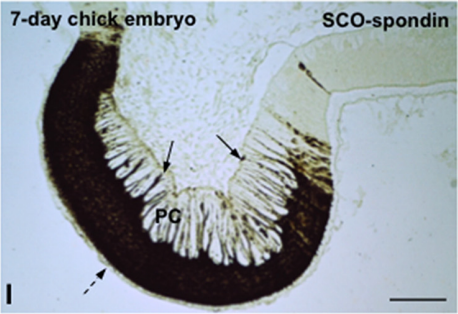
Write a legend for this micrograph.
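The cell bodies form a dense, darkly stained layer on the ventricular side. From this layer, dark thin basal processes run radially across the paler posterior commissure toward the outer surface of the brain, giving a striated pattern.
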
